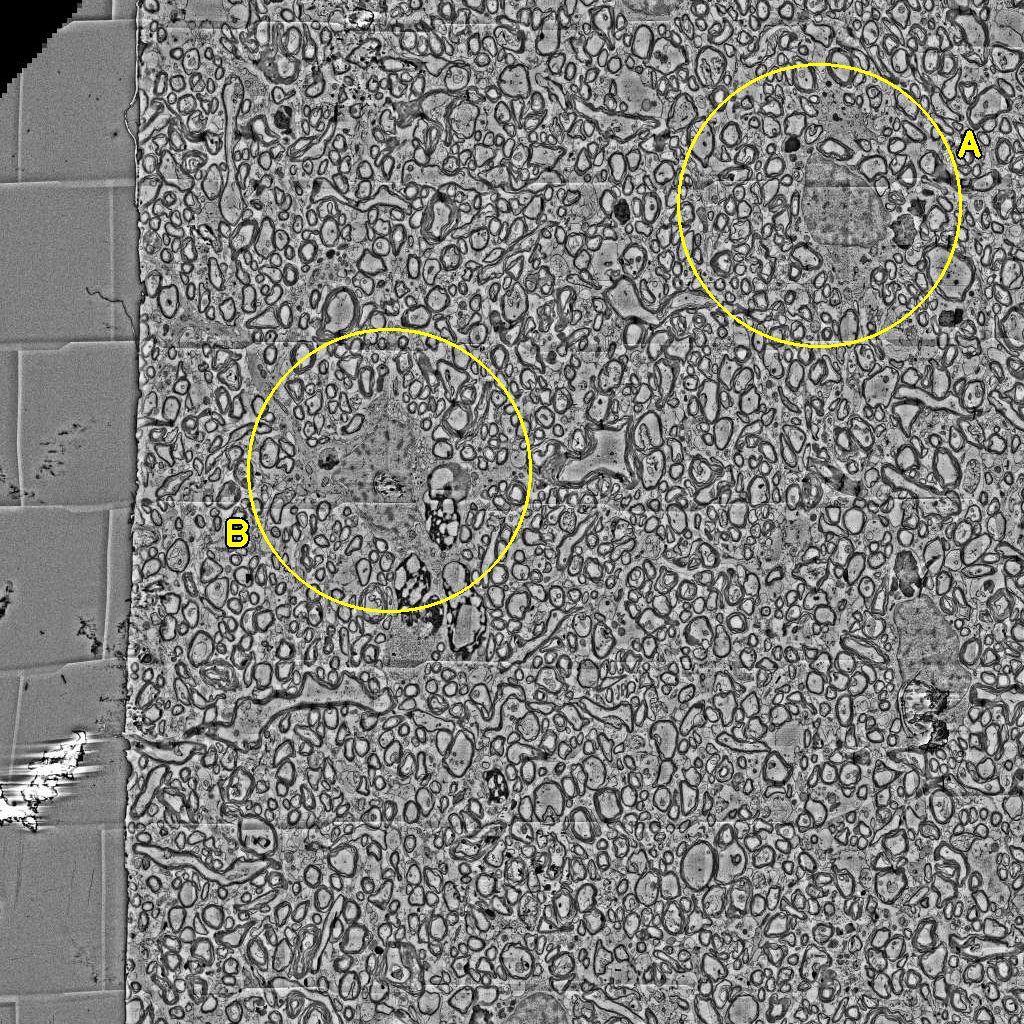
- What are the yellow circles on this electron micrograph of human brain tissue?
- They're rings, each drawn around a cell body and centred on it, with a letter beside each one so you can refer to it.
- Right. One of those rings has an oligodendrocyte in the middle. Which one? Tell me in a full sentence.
It's ring A.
